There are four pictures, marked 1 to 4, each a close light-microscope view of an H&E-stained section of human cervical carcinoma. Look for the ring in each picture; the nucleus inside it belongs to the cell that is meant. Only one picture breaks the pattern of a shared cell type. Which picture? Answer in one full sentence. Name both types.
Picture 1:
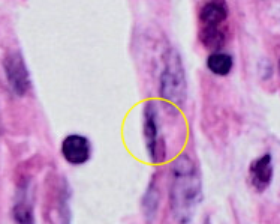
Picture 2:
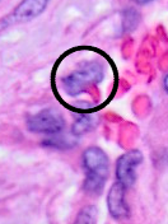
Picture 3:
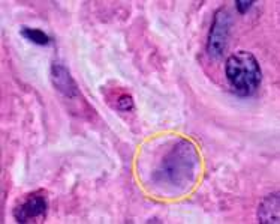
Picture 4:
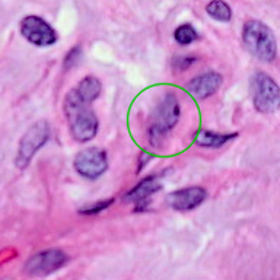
Picture 3 is the odd one out: it shows a fibroblast, while the others show endothelial cells.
